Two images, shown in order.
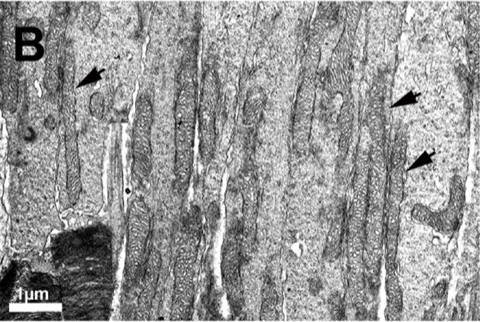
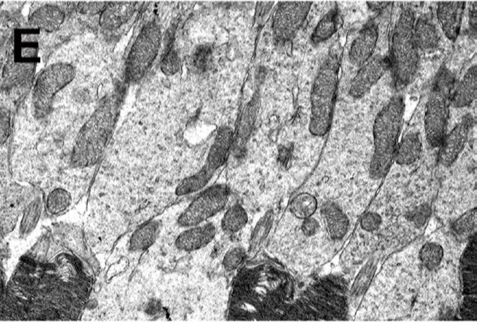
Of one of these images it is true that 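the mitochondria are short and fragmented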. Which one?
The second image.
